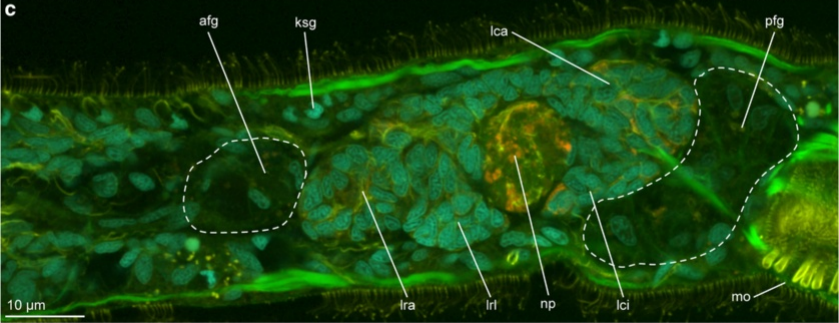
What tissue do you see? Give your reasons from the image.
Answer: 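A central rounded mass with few nuclei and fibrous signal. Dense clusters of cyan nuclei arranged in lobes around that central mass. So: brain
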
